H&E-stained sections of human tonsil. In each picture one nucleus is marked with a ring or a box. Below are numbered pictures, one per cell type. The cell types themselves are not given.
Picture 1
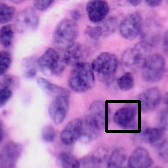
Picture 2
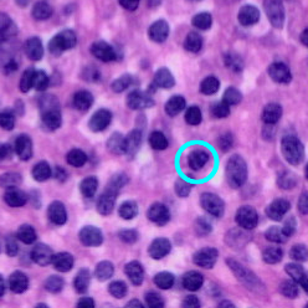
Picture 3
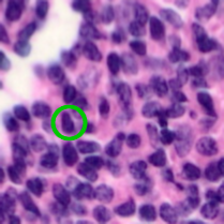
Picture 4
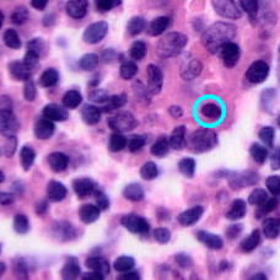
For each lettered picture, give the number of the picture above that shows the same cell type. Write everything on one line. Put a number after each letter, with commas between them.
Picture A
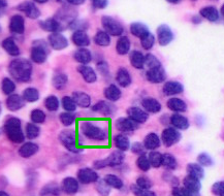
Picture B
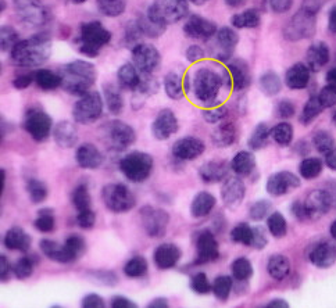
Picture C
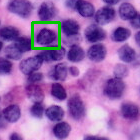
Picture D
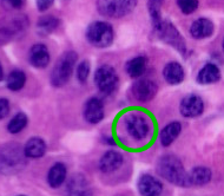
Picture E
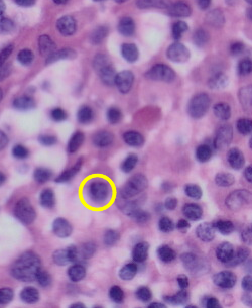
A 3, B 1, C 3, D 2, E 2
